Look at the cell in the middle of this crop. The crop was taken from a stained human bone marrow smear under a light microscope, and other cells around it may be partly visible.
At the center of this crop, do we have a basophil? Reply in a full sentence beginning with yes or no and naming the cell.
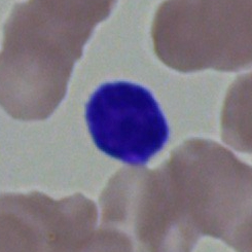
No, the central cell is classed as a lymphocyte, not a basophil.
